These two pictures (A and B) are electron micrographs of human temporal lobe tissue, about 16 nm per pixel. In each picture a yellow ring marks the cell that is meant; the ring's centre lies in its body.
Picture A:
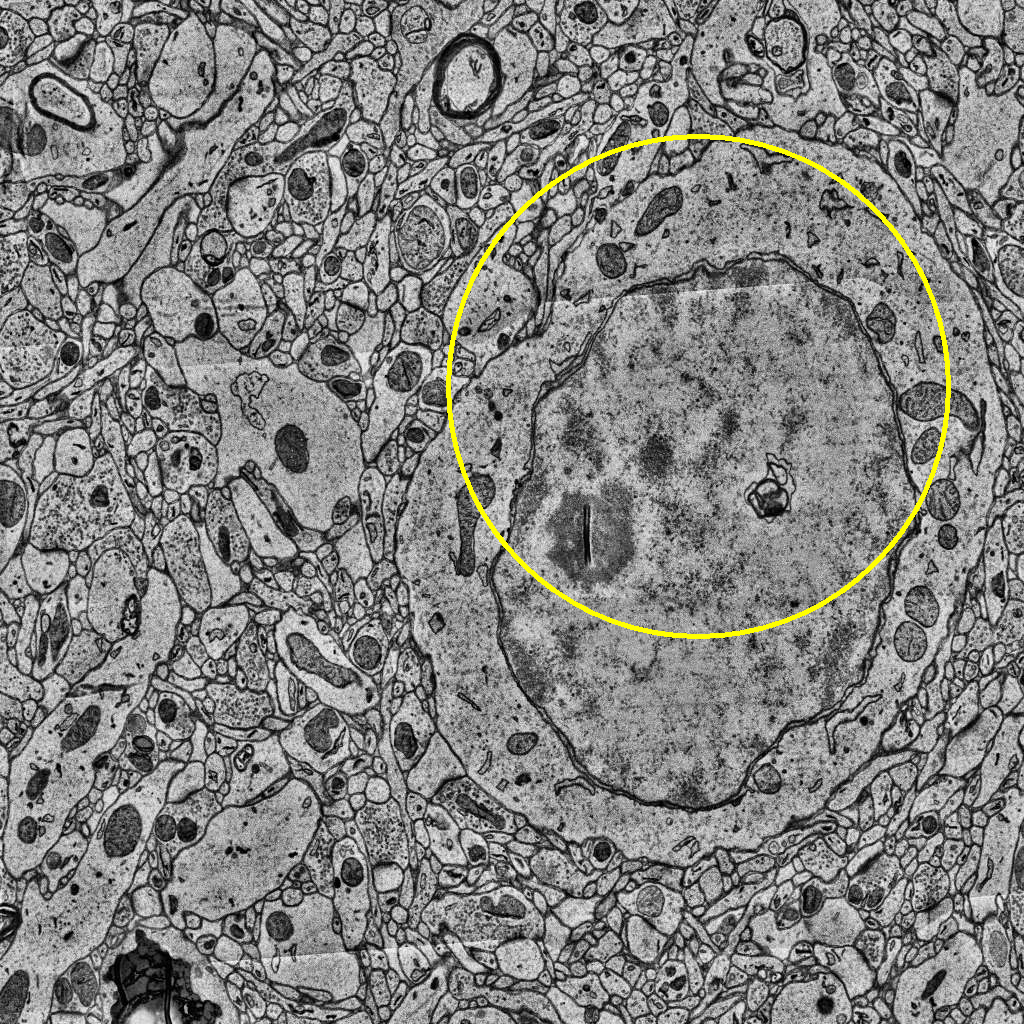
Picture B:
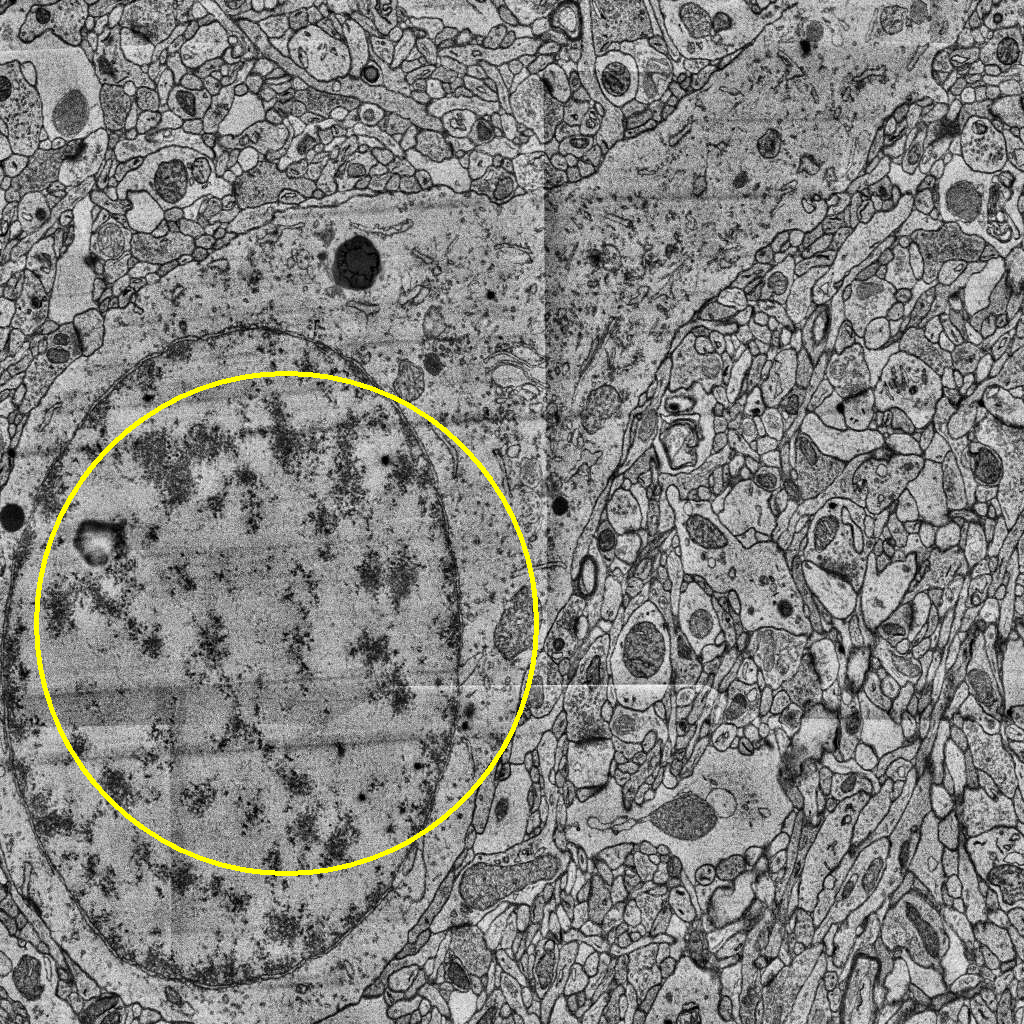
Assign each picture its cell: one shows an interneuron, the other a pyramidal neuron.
It is picture A that shows an interneuron, and picture B that shows a pyramidal neuron.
